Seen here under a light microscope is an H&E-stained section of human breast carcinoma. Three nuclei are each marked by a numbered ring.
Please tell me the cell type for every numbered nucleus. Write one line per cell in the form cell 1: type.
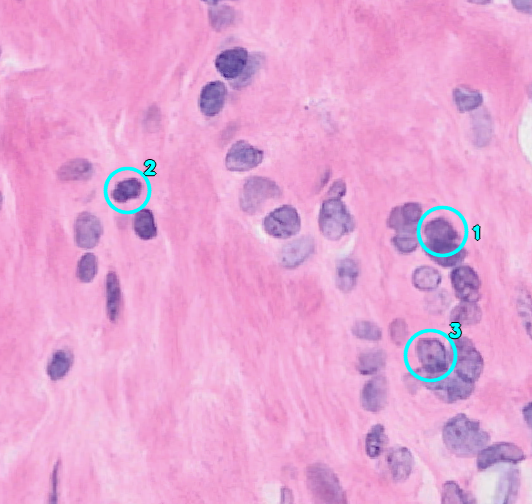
cell 1: carcinoma cell
cell 2: lymphocyte
cell 3: carcinoma cell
